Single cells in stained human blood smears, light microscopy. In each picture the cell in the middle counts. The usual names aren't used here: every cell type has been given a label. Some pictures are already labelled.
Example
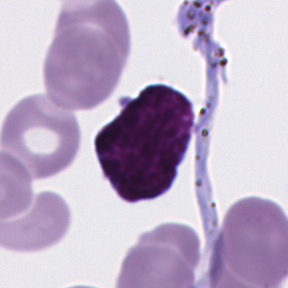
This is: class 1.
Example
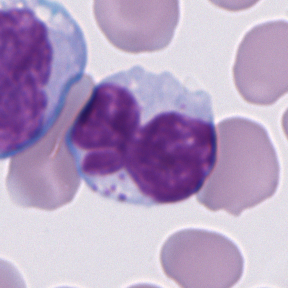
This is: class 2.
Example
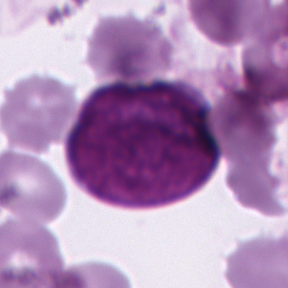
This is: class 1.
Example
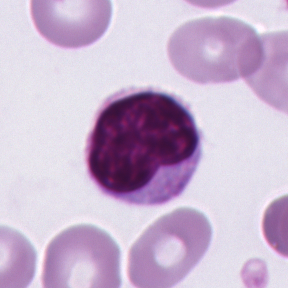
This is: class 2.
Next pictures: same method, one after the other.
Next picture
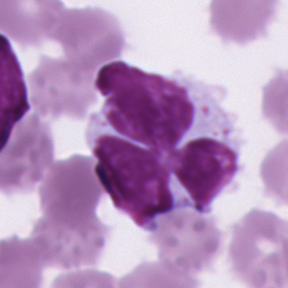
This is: class 2.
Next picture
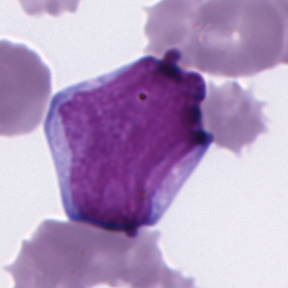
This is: class 1.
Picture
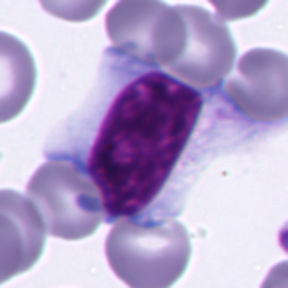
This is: class 2.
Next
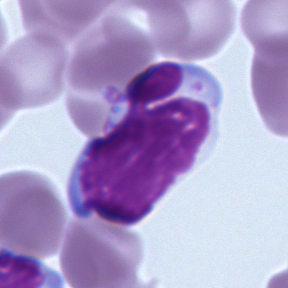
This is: class 2.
